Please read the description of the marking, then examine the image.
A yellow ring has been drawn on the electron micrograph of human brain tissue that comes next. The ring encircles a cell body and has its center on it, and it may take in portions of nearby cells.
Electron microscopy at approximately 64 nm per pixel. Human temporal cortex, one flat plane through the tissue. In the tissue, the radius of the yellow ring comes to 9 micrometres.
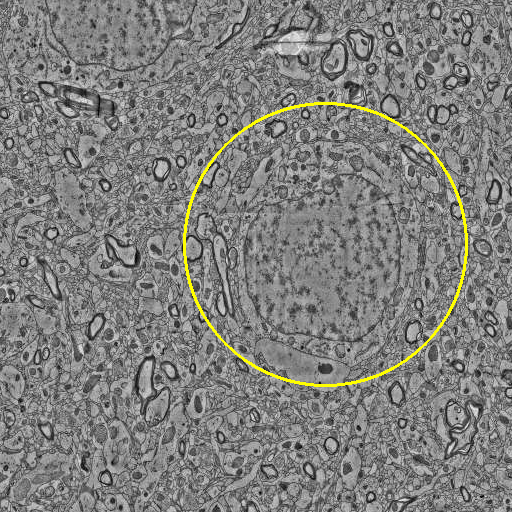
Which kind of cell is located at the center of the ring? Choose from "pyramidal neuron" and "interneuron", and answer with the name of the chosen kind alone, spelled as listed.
pyramidal neuron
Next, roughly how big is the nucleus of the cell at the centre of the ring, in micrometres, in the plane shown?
In this plane the nucleus measures roughly 11 micrometres across.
